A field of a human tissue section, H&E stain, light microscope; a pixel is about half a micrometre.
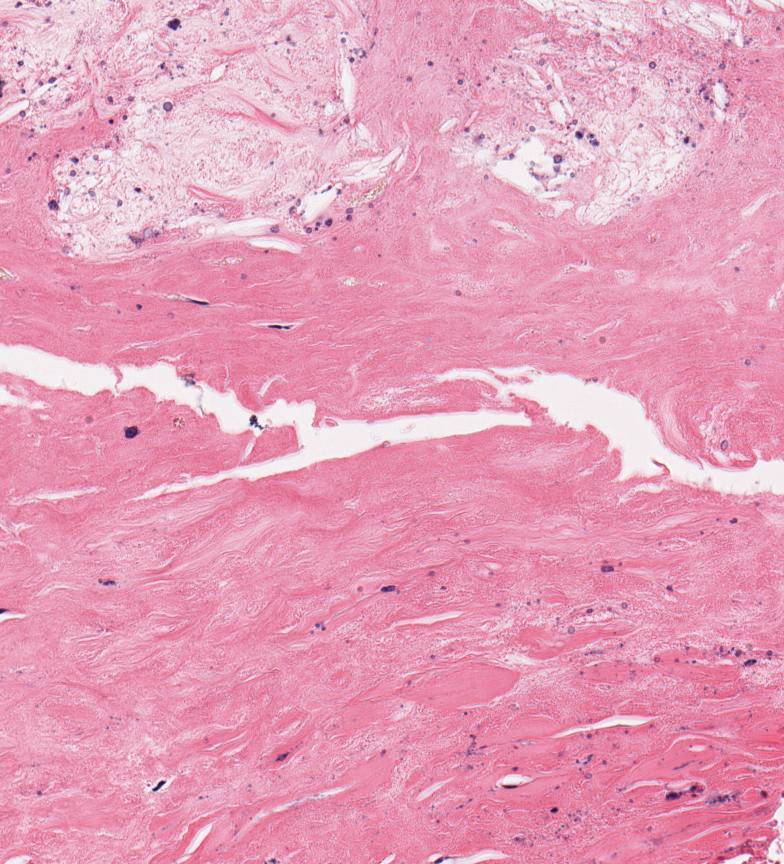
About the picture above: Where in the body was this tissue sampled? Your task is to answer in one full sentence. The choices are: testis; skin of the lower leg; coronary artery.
Tissue for this section was sampled from the coronary artery.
